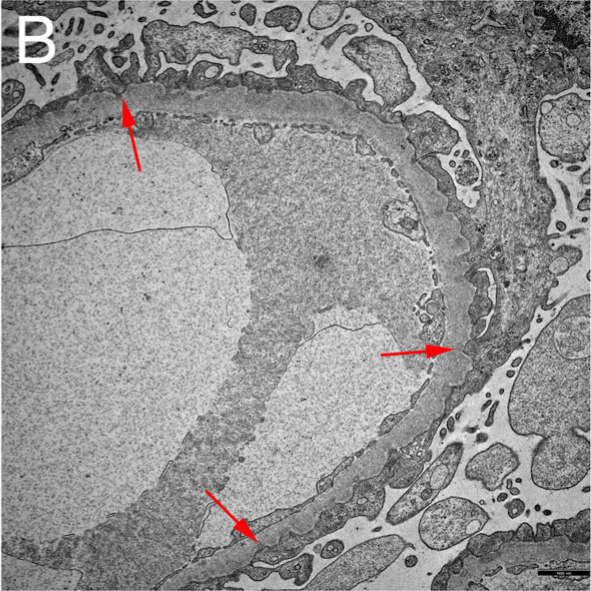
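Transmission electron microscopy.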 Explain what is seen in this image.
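This electron micrograph shows part of a glomerular capillary loop with a broad glomerular basement membrane and infolding of podocyte cytoplasm into it. A wide, fairly uniform grey membrane band curves around a large pale capillary lumen. Along the band lie rows of small dark dots and tiny invaginations. On the outer side of the membrane, many cross-sectioned cell processes of various sizes fill the space, separated by pale gaps. Toward the upper right, denser cell bodies with cytoplasm border the loop.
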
